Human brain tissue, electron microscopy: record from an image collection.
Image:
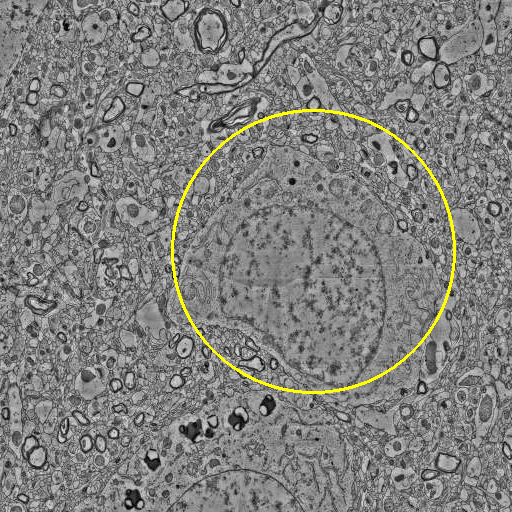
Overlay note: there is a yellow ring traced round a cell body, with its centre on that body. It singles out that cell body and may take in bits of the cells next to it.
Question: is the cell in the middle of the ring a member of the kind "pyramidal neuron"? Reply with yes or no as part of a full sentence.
No, the image's ringed cell, the one at the ring's centre, is a member of another kind.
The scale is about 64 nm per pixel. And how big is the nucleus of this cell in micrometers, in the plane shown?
About 13 by 10 micrometers for the nucleus, in this plane.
